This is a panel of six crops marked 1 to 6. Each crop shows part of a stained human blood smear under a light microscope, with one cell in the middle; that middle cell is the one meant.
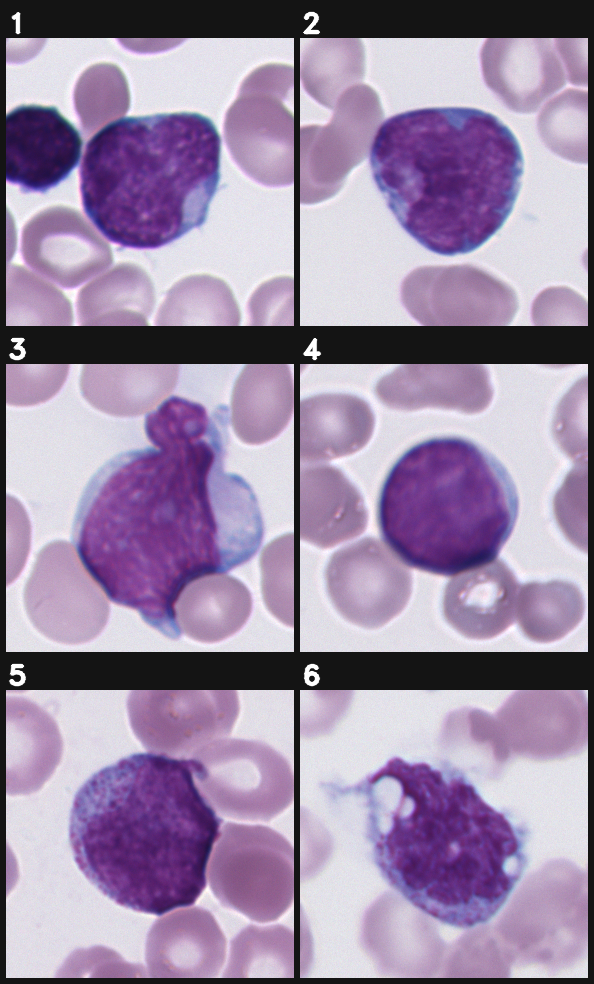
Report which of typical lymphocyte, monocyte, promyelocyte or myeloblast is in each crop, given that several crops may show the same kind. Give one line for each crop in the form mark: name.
1: myeloblast
2: myeloblast
3: myeloblast
4: myeloblast
5: promyelocyte
6: monocyte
